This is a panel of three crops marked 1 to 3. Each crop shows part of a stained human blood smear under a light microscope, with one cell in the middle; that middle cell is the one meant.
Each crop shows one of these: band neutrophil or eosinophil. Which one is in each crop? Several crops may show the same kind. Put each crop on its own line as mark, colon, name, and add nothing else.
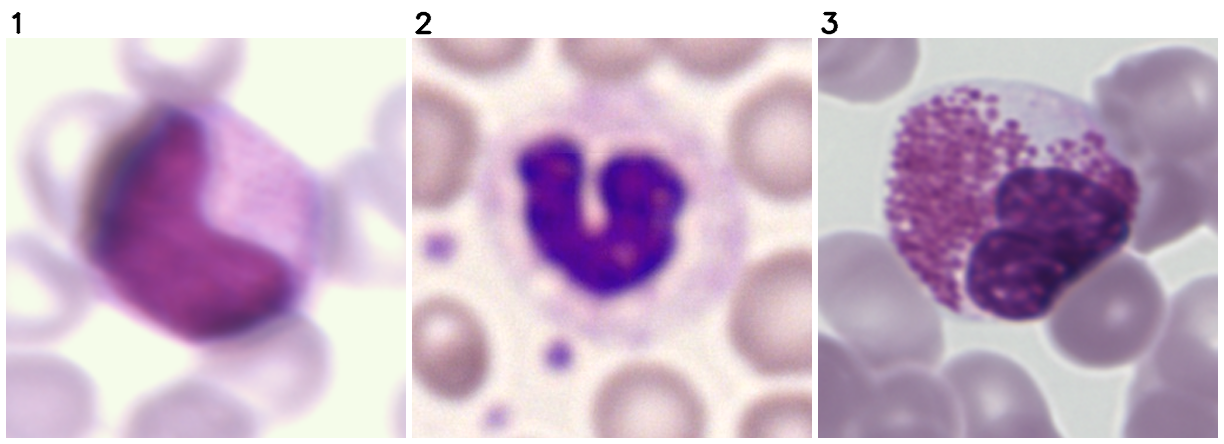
1: band neutrophil
2: band neutrophil
3: eosinophil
